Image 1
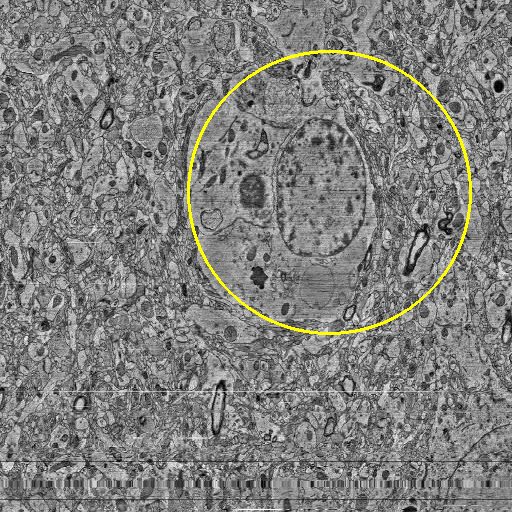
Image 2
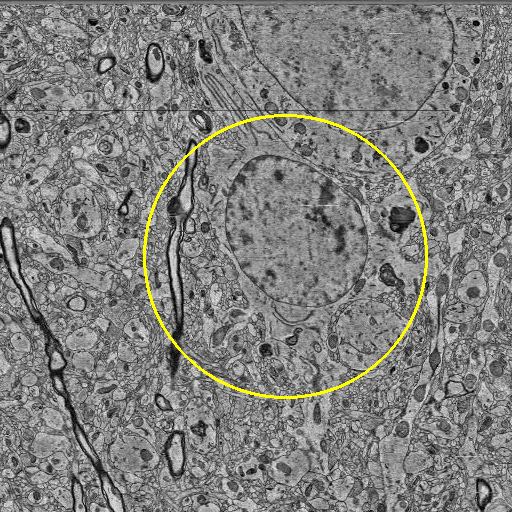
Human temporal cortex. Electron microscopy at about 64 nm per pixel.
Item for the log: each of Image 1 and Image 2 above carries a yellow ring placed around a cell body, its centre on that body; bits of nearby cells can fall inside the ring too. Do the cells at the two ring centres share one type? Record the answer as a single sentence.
Yes, the two cells at the ring centres in Image 1 and Image 2 share one type.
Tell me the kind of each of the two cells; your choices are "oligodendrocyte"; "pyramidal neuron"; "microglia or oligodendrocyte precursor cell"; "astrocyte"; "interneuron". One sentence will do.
Each cell at the centre of a ring is an astrocyte.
